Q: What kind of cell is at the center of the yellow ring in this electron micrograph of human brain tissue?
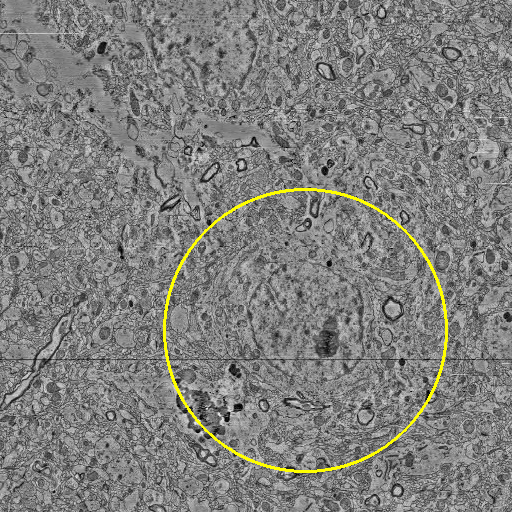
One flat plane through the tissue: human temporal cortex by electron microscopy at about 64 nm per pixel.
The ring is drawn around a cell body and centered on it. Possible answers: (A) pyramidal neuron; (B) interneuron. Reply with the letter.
B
